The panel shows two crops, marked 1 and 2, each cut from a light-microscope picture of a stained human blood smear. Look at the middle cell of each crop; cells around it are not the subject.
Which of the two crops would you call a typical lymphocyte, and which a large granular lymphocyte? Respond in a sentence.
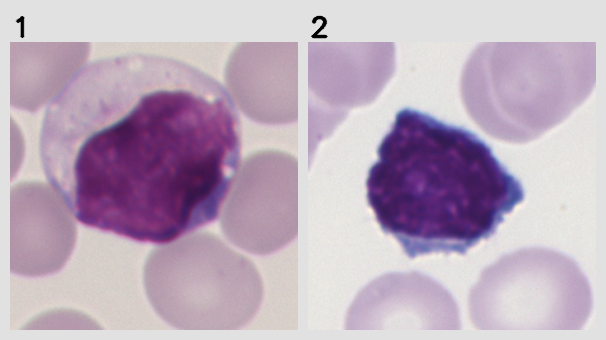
Crop 1 shows a large granular lymphocyte, whereas crop 2 shows a typical lymphocyte.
